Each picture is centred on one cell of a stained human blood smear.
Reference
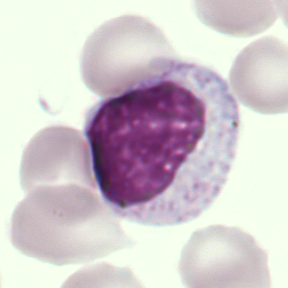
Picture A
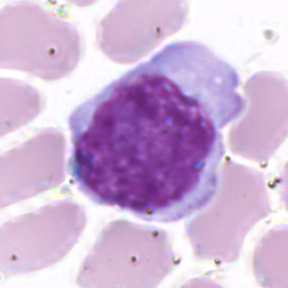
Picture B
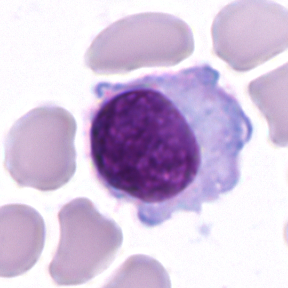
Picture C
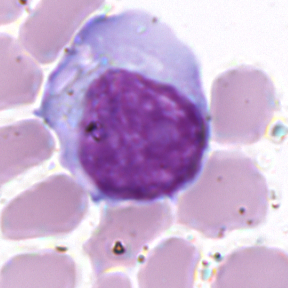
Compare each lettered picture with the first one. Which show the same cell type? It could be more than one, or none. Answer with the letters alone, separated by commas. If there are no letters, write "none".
none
